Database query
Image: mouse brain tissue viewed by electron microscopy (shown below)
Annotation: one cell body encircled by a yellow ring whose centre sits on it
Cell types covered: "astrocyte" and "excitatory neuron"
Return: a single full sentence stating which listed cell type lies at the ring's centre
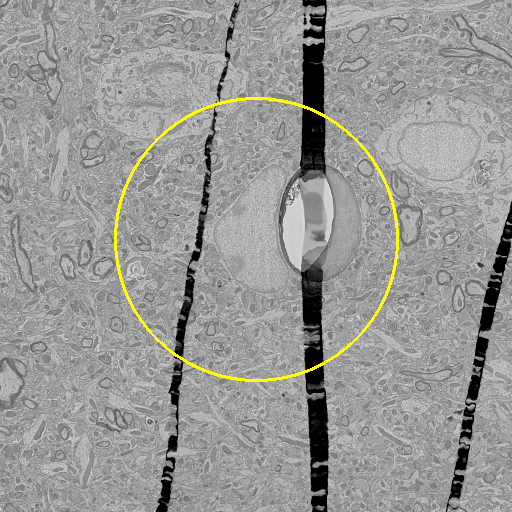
In the image, the cell lying at the ring's centre is an astrocyte.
